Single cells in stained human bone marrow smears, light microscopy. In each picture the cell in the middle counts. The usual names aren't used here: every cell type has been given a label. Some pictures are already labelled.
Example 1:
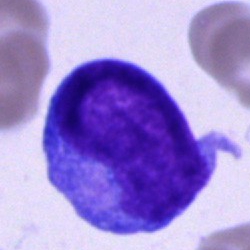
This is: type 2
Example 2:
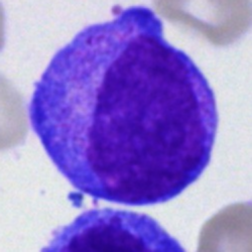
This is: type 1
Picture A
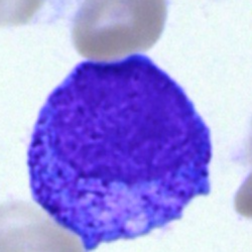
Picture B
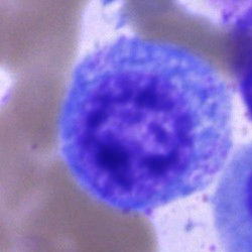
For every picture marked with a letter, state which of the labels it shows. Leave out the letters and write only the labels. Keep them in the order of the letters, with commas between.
type 1, type 1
